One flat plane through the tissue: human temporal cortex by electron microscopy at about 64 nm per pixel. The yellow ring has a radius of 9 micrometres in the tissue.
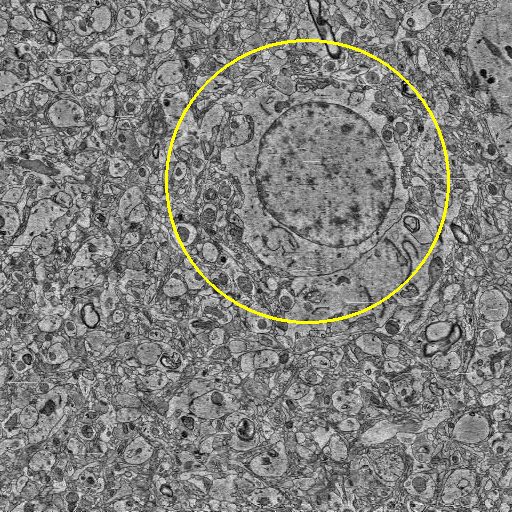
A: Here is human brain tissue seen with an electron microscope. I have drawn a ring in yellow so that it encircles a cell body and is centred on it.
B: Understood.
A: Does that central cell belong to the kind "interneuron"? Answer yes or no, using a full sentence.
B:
No, the central cell inside your yellow ring belongs to another kind.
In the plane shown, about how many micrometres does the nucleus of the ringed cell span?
About 9 micrometres across, as seen in this plane.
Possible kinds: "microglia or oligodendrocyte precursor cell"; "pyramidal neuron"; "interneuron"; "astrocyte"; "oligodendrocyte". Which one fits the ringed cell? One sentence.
This picture has an astrocyte at the centre of its ring.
